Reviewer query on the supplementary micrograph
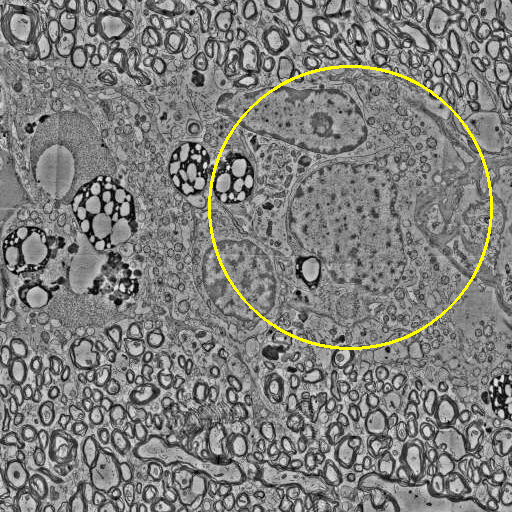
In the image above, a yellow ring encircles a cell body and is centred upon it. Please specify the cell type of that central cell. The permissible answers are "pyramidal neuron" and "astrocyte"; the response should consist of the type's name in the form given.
astrocyte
